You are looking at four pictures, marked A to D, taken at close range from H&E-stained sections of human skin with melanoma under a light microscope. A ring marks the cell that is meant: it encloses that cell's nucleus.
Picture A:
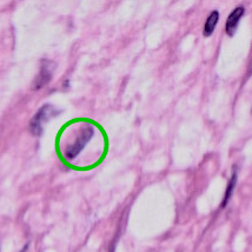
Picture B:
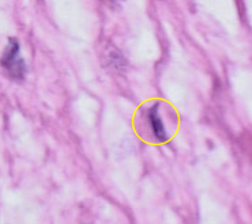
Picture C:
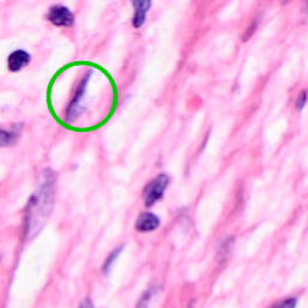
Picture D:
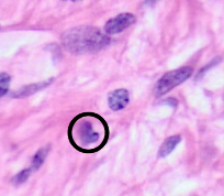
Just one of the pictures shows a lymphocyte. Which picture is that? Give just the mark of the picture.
D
